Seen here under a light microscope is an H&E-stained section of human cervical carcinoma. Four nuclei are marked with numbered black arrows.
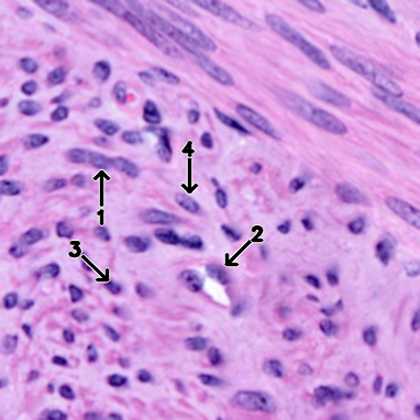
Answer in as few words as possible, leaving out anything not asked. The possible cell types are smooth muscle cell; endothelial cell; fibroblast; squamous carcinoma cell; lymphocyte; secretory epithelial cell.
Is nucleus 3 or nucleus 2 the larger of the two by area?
2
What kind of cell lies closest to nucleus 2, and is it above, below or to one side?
an endothelial cell; to the left of nucleus 2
